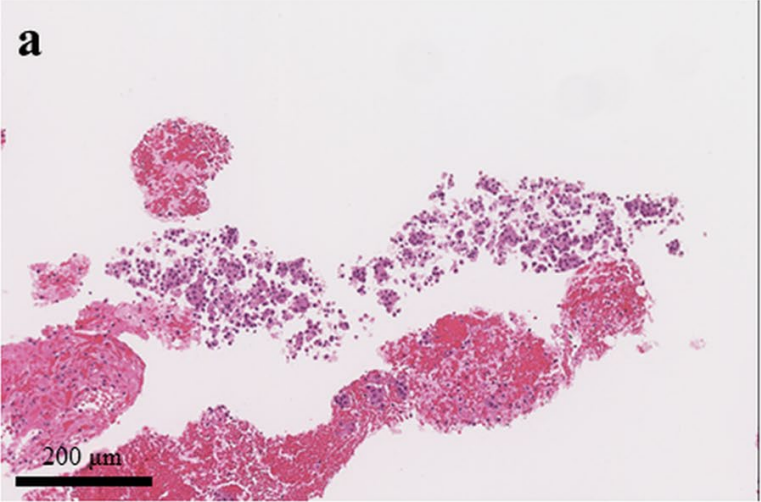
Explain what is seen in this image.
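The cells are uniform in size and form small aggregates rather than a structured tissue. Between and beside the cell clusters lie pink fragments of blood and fibrin-like material with scattered nuclei.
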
